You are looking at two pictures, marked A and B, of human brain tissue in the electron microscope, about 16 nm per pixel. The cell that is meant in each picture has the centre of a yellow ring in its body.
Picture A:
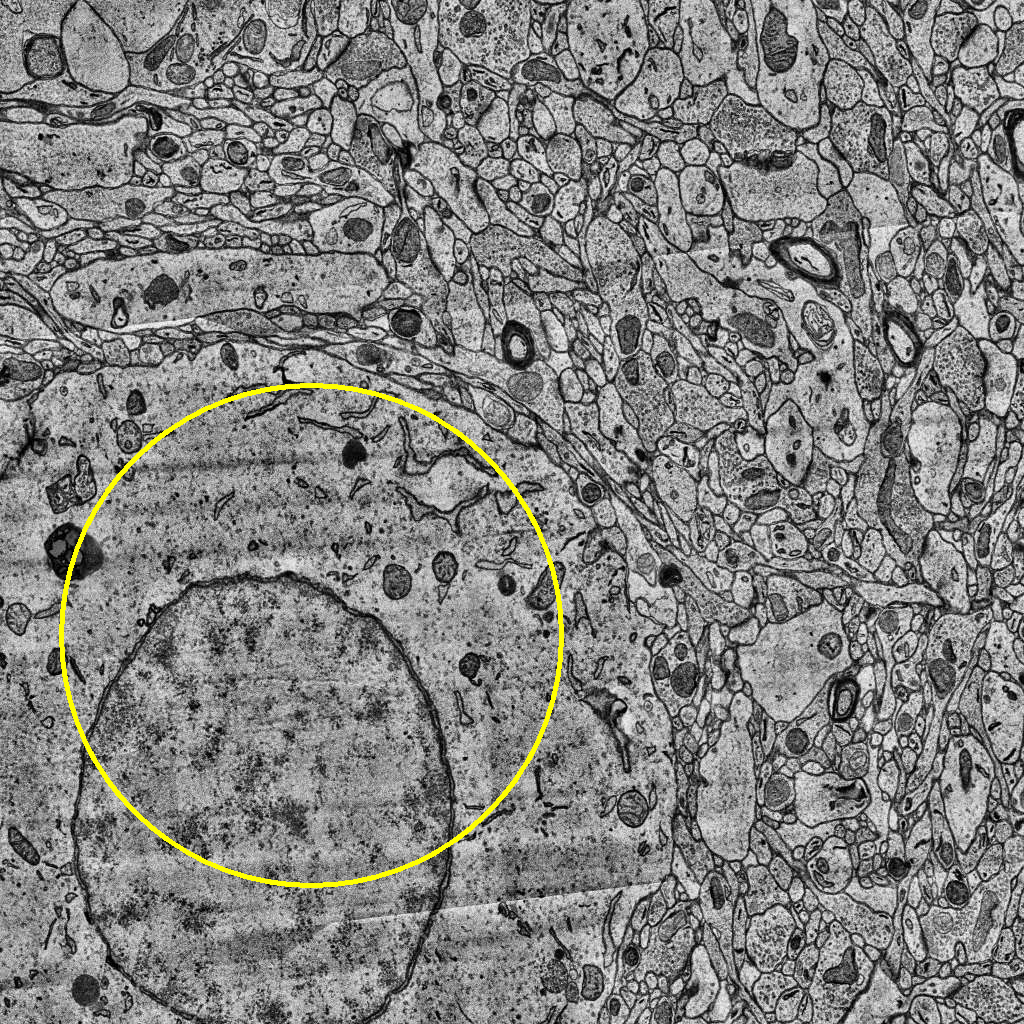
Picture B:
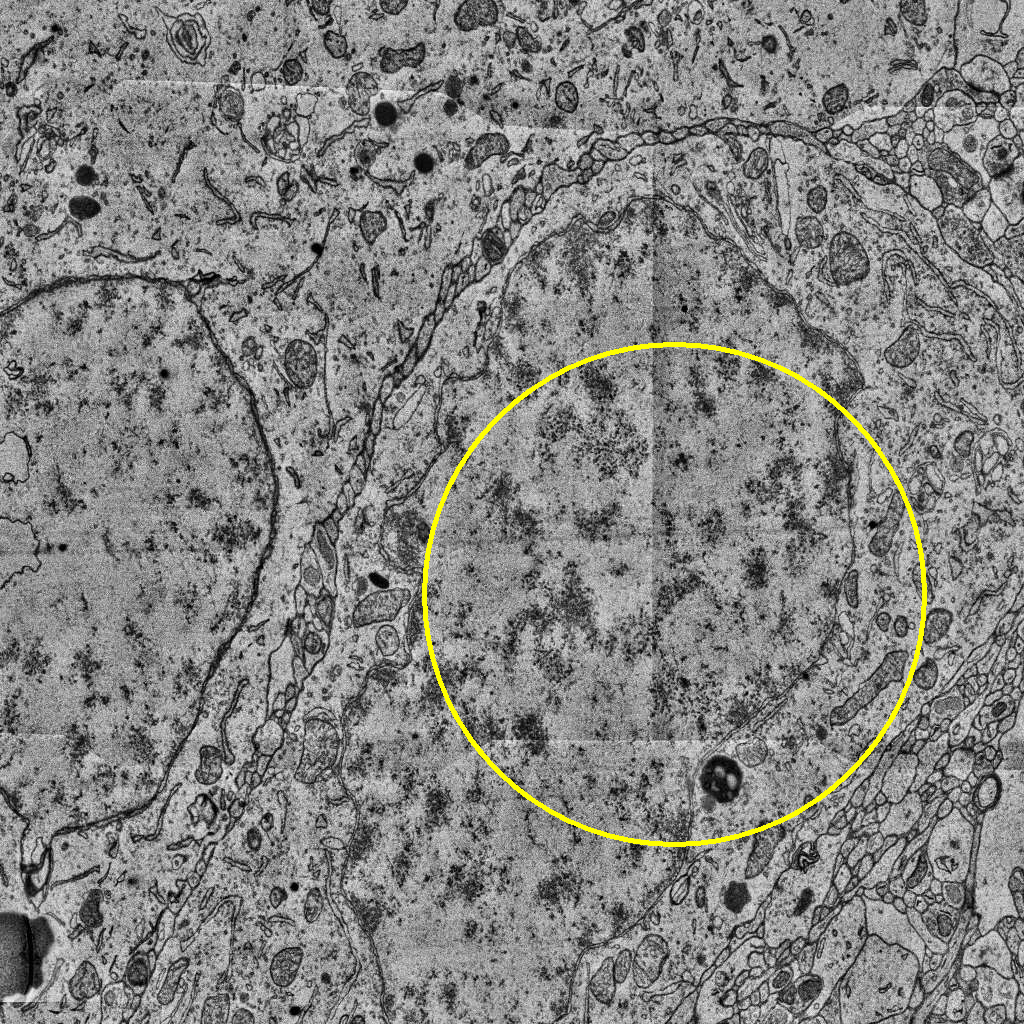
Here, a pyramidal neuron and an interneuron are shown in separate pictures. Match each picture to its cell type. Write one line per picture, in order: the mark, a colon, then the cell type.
A: pyramidal neuron
B: interneuron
